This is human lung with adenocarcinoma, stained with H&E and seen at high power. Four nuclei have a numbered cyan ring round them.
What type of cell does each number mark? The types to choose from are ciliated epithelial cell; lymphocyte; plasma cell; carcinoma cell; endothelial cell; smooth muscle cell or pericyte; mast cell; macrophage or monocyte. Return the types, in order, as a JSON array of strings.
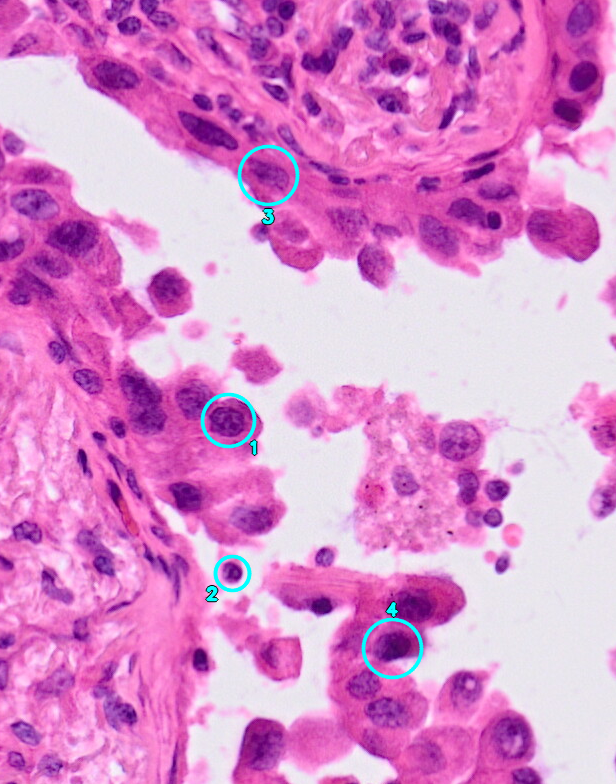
["carcinoma cell", "lymphocyte", "carcinoma cell", "carcinoma cell"]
